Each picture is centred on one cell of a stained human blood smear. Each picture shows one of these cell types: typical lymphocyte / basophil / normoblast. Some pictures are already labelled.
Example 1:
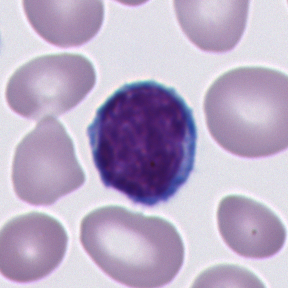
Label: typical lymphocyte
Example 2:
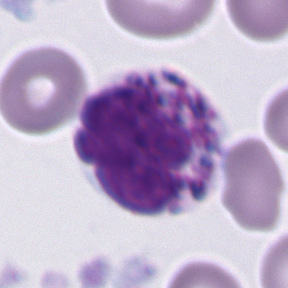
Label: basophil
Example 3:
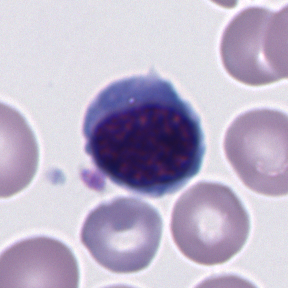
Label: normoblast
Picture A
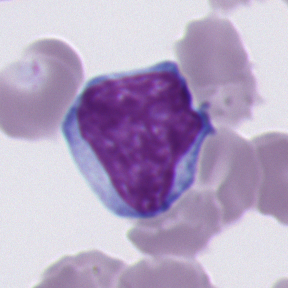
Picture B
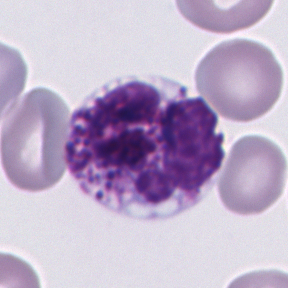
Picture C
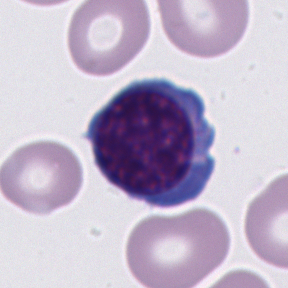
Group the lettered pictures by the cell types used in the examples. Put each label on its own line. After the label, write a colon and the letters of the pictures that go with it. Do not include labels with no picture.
typical lymphocyte: A
basophil: B
normoblast: C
